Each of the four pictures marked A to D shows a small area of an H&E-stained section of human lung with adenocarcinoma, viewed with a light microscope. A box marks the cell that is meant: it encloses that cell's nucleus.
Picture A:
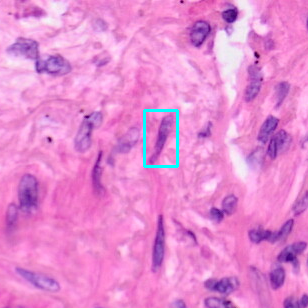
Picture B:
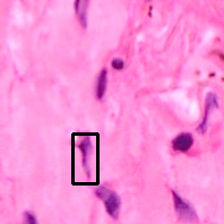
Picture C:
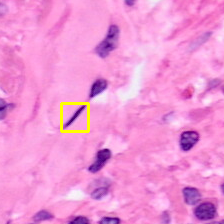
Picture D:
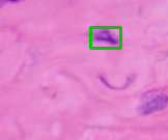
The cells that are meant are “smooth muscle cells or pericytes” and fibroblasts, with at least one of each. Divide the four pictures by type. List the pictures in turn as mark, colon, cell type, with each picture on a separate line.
A: smooth muscle cell or pericyte
B: fibroblast
C: fibroblast
D: fibroblast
